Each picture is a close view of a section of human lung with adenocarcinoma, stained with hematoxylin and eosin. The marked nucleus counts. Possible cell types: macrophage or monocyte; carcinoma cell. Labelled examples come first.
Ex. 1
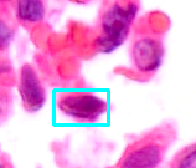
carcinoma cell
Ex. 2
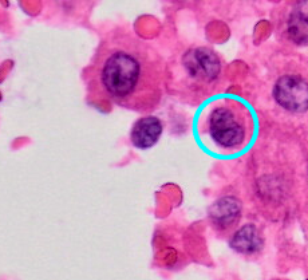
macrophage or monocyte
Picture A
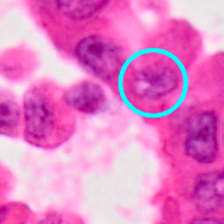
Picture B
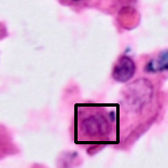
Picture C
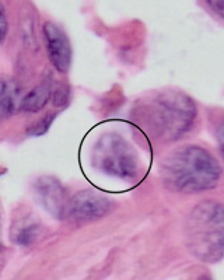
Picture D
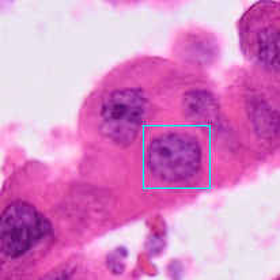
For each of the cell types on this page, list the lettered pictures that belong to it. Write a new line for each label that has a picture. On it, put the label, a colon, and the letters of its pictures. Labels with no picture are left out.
macrophage or monocyte: B
carcinoma cell: A, C, D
